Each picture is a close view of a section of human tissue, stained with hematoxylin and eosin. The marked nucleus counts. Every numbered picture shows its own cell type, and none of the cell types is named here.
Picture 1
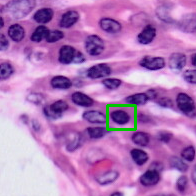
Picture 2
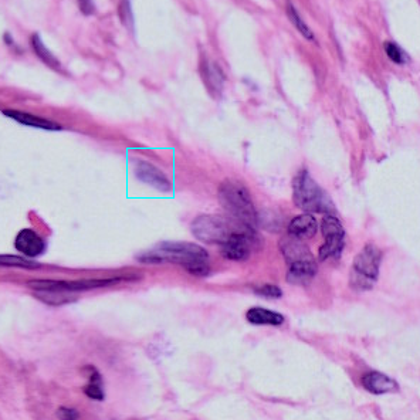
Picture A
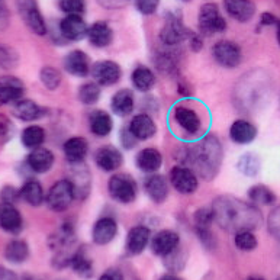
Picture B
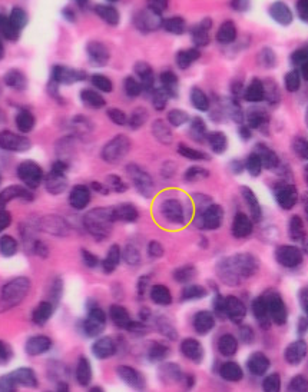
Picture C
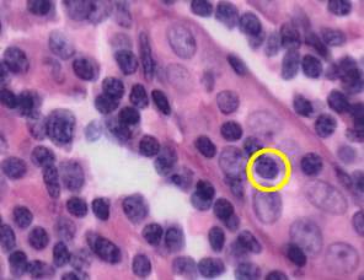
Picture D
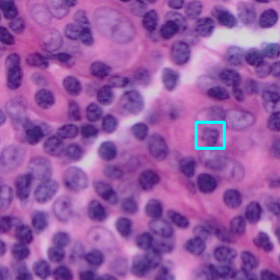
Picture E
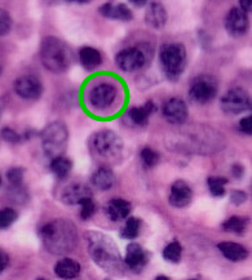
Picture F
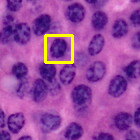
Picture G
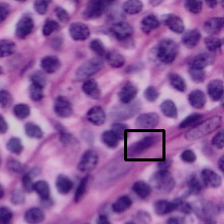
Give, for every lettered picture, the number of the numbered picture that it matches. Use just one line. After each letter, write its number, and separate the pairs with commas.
A 2, B 2, C 2, D 2, E 1, F 1, G 2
